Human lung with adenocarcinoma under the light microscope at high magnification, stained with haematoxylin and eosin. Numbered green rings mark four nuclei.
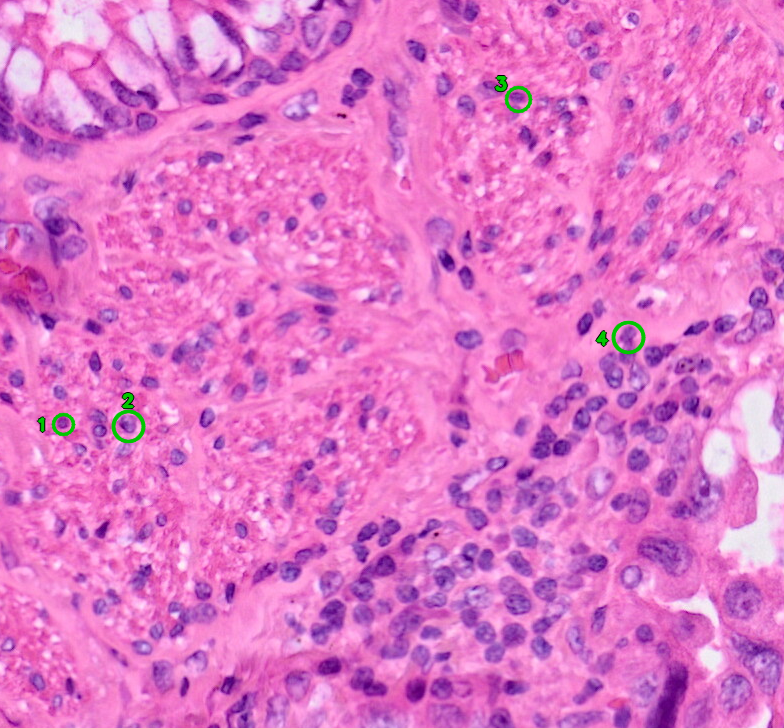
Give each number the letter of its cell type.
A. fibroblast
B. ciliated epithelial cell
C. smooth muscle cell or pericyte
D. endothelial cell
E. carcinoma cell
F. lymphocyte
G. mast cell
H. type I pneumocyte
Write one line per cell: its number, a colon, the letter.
1: C
2: C
3: C
4: F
